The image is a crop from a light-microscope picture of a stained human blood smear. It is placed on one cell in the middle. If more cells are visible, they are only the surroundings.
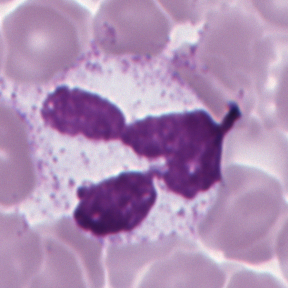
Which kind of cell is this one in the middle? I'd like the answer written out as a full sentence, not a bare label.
The middle of this crop is occupied by a neutrophil.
